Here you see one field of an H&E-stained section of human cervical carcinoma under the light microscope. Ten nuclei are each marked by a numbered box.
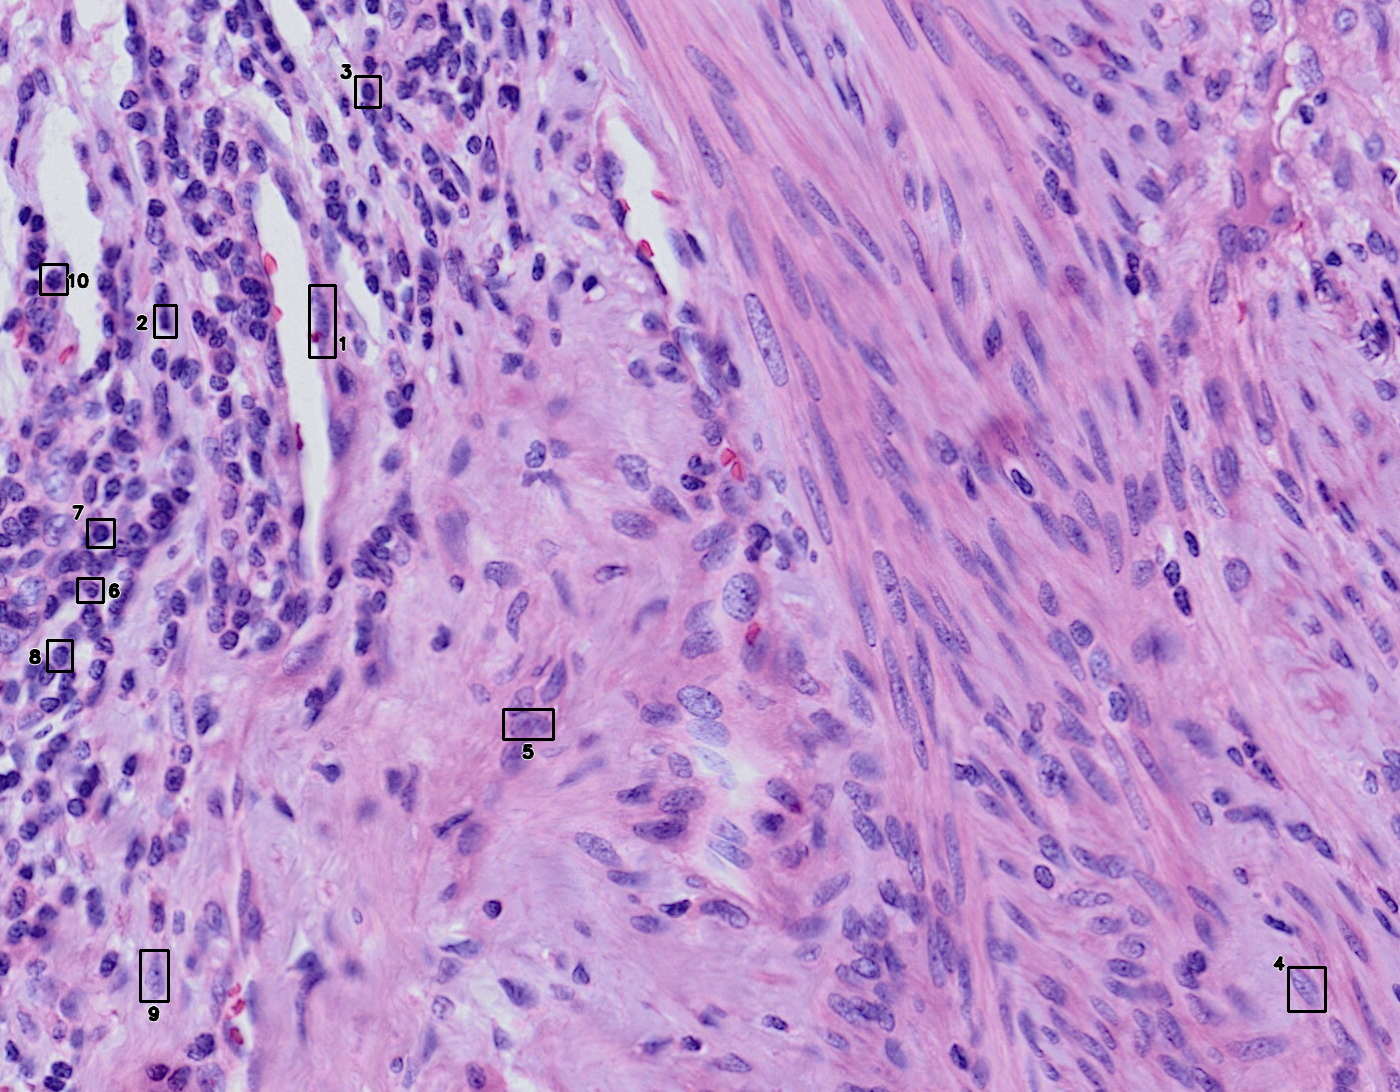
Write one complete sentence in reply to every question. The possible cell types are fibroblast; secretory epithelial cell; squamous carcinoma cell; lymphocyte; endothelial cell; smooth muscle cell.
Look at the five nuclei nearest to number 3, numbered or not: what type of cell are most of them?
The majority of the five nuclei closest to number 3 belong to lymphocytes.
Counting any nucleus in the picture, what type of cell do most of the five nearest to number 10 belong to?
Of the five nuclei nearest to number 10, most belong to lymphocytes.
